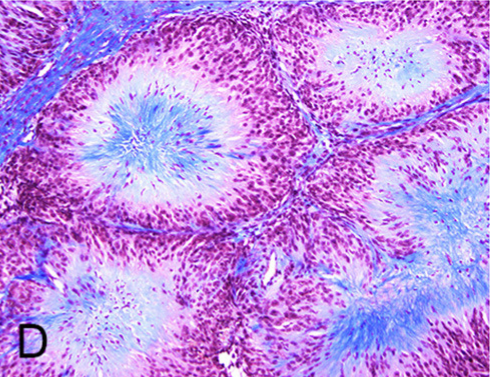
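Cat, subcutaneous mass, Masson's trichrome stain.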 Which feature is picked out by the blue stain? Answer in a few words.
collagen core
